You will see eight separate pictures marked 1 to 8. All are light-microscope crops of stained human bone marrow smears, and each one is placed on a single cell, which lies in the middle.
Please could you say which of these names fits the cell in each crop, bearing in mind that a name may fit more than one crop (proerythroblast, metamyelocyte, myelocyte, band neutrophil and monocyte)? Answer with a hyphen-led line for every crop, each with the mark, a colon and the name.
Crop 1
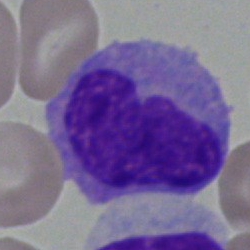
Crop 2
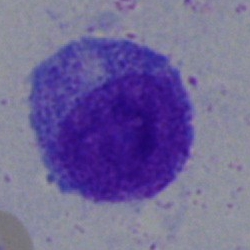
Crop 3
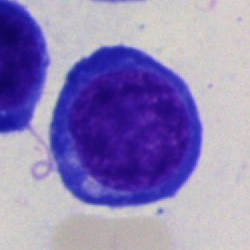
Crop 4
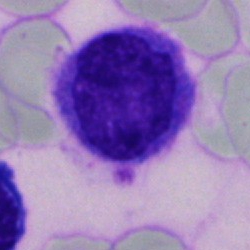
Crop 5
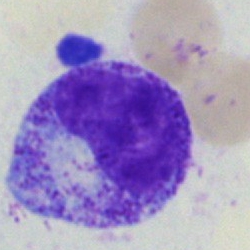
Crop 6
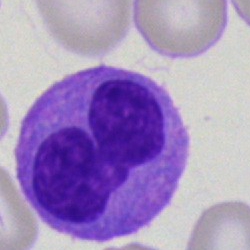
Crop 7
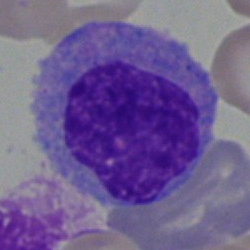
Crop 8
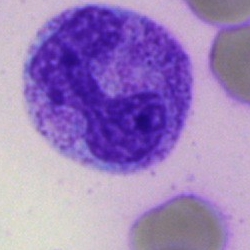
- 1: monocyte
- 2: myelocyte
- 3: proerythroblast
- 4: monocyte
- 5: metamyelocyte
- 6: monocyte
- 7: monocyte
- 8: band neutrophil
